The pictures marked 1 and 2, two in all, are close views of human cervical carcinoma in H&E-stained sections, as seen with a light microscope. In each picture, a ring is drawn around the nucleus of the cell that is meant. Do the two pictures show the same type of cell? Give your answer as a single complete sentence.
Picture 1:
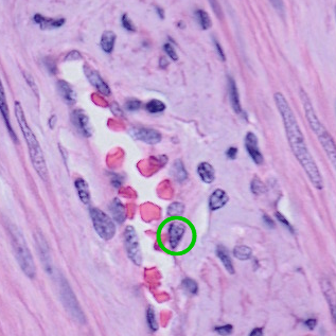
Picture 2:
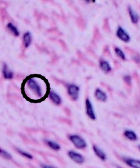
No, picture 1 shows an endothelial cell and picture 2 shows a smooth muscle cell.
